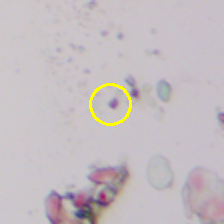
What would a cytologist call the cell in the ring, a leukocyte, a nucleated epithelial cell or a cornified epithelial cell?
A cytologist would call it a leukocyte.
